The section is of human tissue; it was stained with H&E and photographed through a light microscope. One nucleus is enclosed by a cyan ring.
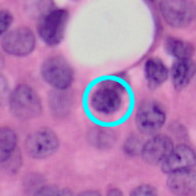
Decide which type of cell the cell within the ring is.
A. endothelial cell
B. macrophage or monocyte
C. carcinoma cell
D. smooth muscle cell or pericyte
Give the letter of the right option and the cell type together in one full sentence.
Under option B, the cell within the ring is listed as a macrophage or monocyte, which is correct.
